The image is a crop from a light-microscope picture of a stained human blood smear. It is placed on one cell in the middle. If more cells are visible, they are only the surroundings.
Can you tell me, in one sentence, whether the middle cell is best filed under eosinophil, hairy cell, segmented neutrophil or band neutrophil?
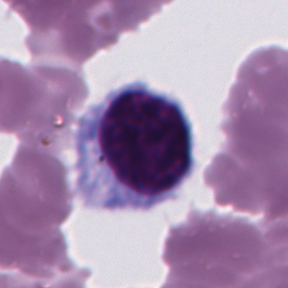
The crop shows a hairy cell in its centre.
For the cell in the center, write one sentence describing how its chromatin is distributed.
This nucleus has coarsely clumped chromatin.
